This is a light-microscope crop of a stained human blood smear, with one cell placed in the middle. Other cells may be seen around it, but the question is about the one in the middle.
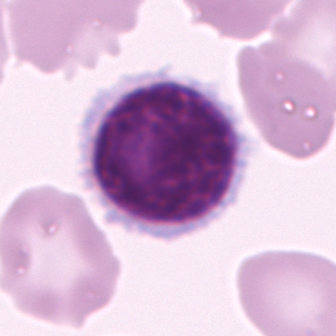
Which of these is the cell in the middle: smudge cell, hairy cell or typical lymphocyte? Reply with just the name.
hairy cell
